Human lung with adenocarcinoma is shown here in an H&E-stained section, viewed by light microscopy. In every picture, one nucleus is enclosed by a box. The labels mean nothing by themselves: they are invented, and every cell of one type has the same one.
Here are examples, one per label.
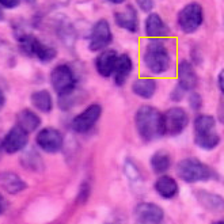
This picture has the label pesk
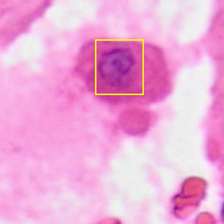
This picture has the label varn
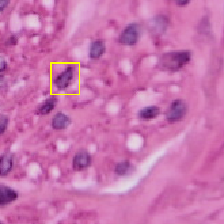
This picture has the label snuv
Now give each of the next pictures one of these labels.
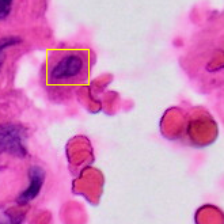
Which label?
varn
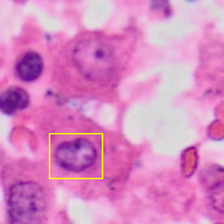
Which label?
varn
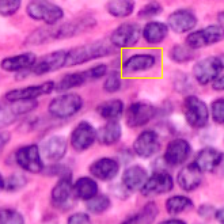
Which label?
pesk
